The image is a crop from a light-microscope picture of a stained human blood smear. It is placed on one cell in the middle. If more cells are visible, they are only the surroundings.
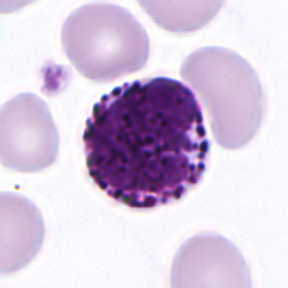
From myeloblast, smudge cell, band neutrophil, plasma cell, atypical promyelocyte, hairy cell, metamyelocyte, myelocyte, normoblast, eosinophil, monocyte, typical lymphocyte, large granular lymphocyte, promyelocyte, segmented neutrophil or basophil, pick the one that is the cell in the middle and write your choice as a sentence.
The cell shown in the center of this light-microscope crop is a basophil.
